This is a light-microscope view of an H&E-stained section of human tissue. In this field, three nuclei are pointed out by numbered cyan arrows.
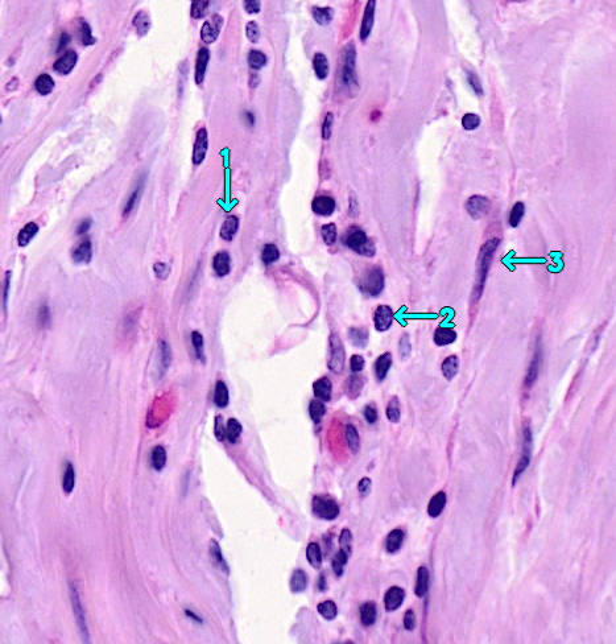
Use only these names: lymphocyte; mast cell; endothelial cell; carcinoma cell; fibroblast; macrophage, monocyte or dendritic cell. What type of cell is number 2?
lymphocyte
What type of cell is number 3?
fibroblast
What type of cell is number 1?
lymphocyte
